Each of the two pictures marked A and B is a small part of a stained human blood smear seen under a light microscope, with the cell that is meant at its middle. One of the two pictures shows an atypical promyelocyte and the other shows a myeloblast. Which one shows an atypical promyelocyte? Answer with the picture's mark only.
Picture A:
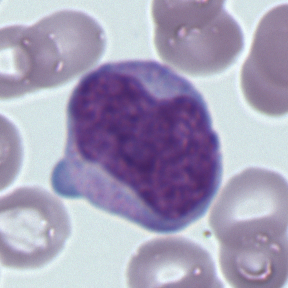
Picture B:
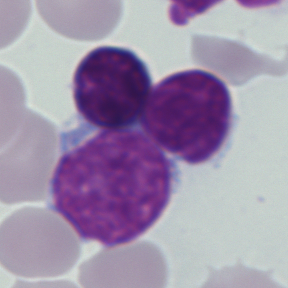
A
